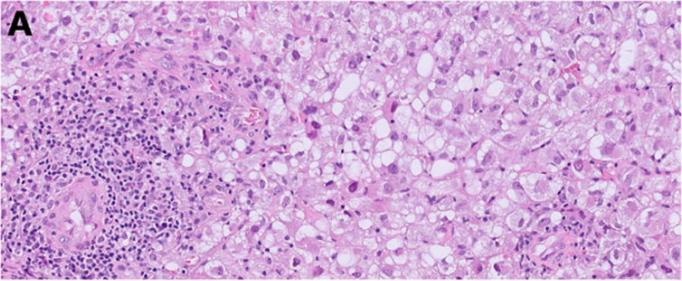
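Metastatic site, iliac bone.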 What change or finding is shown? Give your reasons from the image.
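A dense crowd of small, round, dark-blue nuclei fills the left part of the panel. The answer: lymphocytic infiltrate.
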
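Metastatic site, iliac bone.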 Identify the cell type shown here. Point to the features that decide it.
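Large polygonal cells form a solid sheet on the right. Their cytoplasm is clear or vacuolated to pale pink.
Answer: epithelioid cells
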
